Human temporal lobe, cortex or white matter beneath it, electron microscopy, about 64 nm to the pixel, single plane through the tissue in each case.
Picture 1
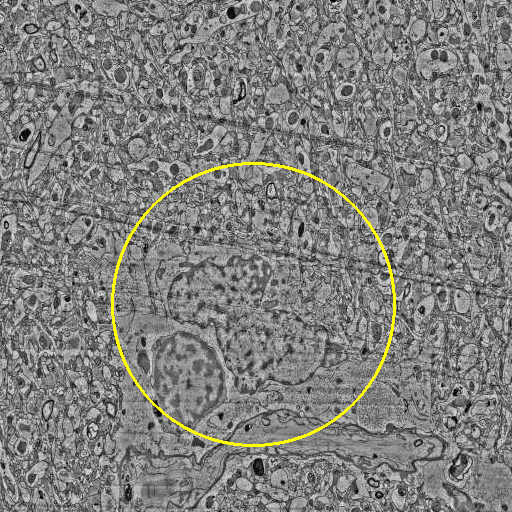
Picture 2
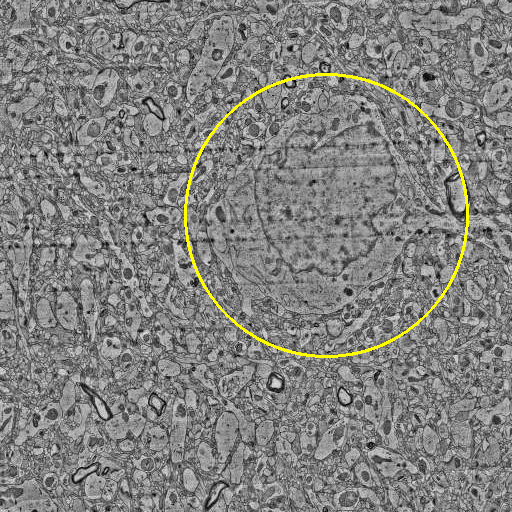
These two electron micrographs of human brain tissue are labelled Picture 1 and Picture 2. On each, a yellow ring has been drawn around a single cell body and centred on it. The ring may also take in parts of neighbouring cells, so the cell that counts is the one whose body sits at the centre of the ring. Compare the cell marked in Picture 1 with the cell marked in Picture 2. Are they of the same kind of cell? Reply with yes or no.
no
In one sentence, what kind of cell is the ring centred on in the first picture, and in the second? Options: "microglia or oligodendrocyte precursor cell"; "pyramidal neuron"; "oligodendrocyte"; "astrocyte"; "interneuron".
The cell at the centre of the second ring is an interneuron; the first ring's cell is a microglial cell or oligodendrocyte precursor cell.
